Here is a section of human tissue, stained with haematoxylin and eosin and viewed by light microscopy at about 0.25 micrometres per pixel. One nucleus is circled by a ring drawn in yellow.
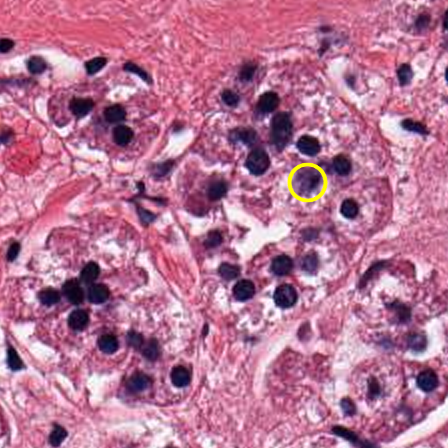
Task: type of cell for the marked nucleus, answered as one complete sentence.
In this image, the nucleus that is marked belongs to an adrenal cortical cell.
